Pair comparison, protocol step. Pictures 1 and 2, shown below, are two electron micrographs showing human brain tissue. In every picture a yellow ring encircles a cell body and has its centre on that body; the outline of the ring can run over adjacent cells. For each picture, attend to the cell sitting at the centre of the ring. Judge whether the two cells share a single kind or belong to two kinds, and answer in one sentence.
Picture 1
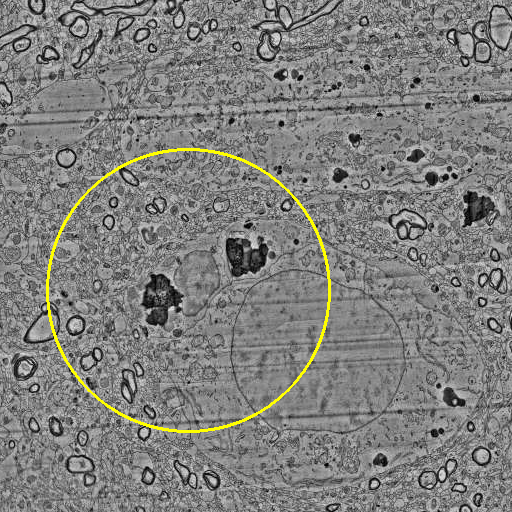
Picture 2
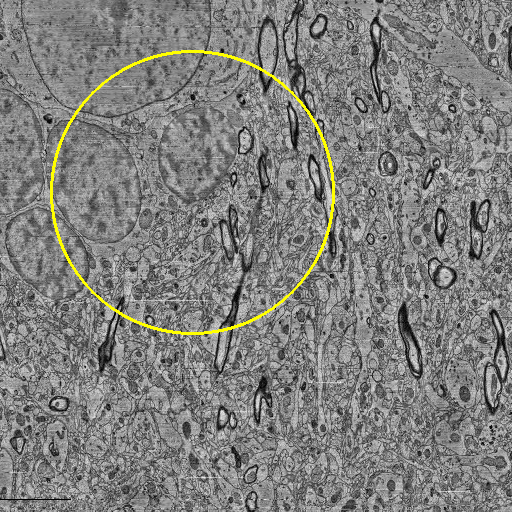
The two cells at the ring centres in Picture 1 and Picture 2 share a single kind.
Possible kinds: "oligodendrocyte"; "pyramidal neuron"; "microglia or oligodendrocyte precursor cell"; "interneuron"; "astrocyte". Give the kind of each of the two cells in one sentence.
Each of the two cells is an oligodendrocyte.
